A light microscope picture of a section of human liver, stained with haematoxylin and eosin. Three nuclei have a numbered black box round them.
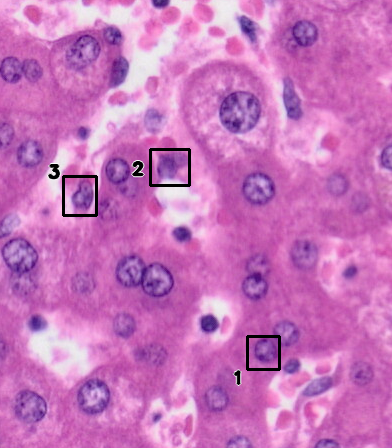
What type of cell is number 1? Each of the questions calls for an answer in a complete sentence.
The cell identified by the number 1 is a hepatocyte.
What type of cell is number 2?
Recognised here as an endothelial cell is the cell numbered 2.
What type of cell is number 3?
The cell referred to as 3 is a Kupffer cell.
